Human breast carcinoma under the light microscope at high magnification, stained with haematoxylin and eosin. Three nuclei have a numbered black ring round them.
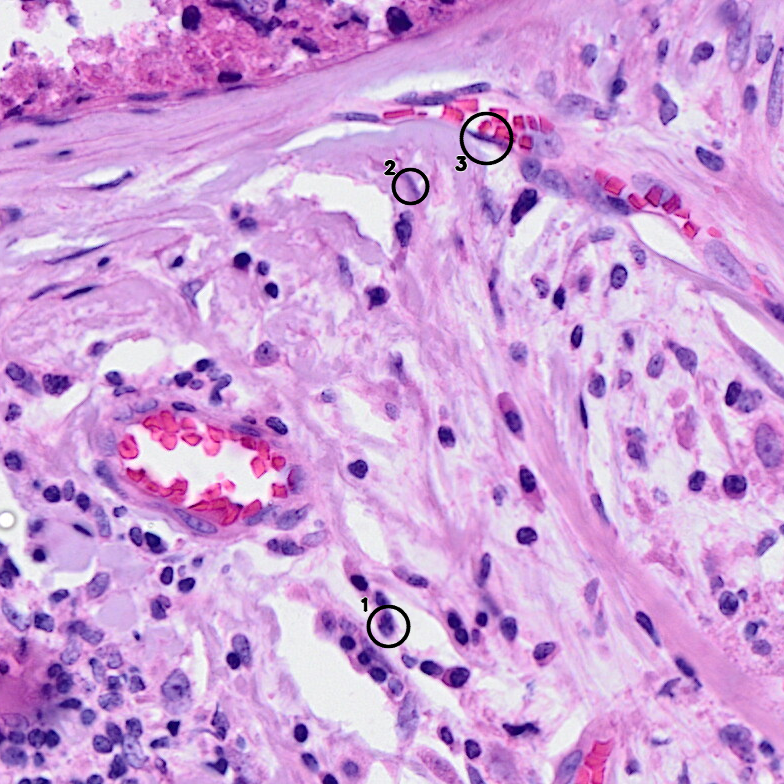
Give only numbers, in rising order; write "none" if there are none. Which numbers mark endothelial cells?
3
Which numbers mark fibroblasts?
2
